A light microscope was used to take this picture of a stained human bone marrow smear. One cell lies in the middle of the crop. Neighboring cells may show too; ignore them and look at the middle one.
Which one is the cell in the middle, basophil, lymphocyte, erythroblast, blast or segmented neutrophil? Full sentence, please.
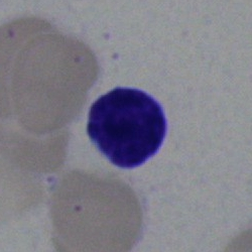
The centrally placed cell is classified as a lymphocyte.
